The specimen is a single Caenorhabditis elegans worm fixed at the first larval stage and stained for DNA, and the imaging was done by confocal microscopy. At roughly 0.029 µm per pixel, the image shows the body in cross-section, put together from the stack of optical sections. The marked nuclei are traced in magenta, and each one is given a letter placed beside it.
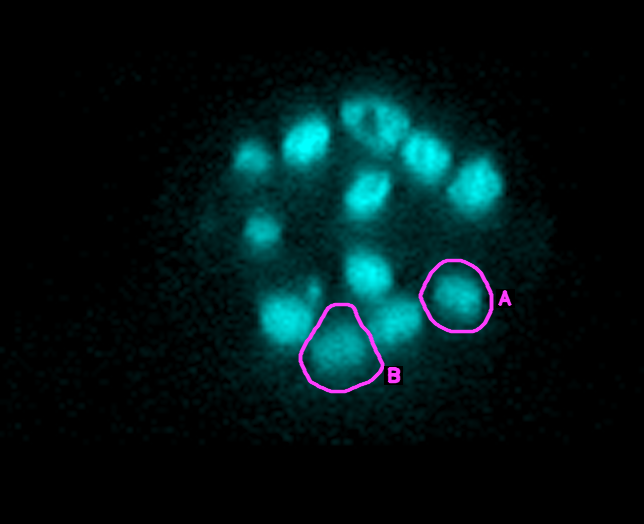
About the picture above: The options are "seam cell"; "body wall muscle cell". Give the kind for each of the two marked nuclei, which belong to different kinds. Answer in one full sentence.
Nucleus A comes from a body wall muscle cell and nucleus B from a seam cell.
